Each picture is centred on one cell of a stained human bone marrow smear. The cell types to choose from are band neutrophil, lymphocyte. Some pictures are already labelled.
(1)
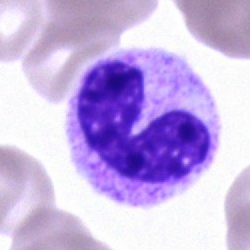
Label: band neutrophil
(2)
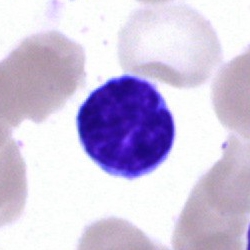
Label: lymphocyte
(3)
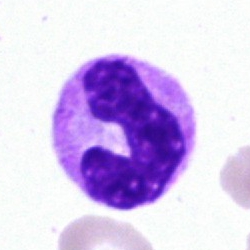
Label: band neutrophil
